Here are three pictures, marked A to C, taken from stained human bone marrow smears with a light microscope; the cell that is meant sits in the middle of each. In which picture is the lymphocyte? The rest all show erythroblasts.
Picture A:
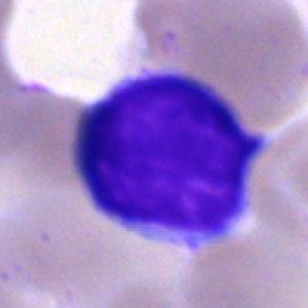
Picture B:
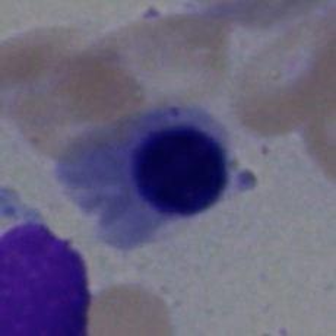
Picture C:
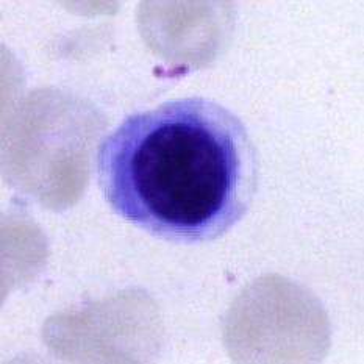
A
